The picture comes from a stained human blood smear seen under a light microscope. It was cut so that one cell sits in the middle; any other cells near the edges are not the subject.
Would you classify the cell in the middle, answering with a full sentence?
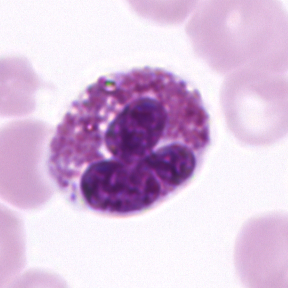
At the crop's centre, the cell is an eosinophil.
